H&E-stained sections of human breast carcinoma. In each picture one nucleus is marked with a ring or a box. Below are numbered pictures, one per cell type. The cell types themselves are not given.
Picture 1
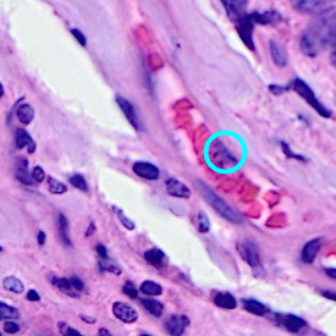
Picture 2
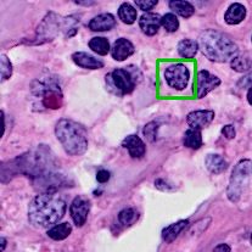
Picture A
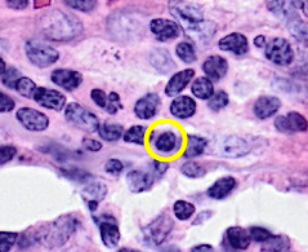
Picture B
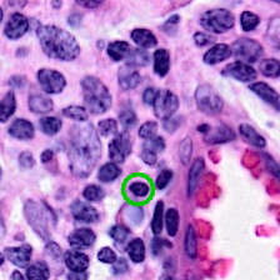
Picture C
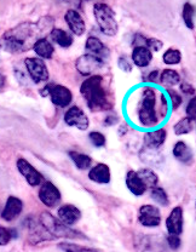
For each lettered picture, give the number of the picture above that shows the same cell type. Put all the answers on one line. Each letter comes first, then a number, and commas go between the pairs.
A 2, B 2, C 2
